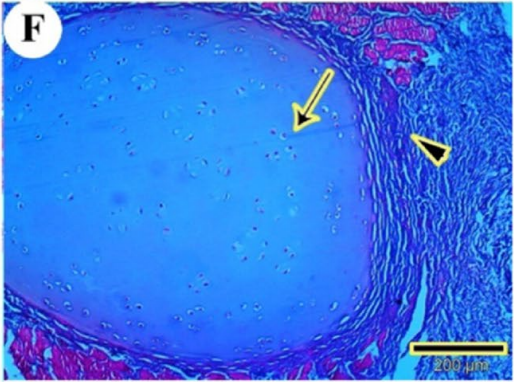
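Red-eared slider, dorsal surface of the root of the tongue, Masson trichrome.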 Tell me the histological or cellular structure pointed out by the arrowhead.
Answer: perichondrium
